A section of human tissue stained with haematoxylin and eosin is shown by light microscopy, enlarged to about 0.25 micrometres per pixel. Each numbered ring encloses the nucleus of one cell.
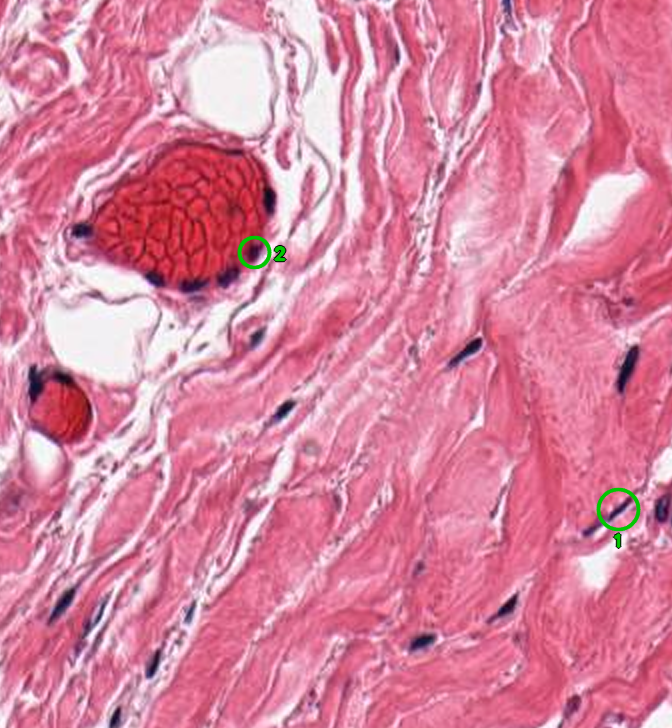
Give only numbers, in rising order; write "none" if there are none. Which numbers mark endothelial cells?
2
